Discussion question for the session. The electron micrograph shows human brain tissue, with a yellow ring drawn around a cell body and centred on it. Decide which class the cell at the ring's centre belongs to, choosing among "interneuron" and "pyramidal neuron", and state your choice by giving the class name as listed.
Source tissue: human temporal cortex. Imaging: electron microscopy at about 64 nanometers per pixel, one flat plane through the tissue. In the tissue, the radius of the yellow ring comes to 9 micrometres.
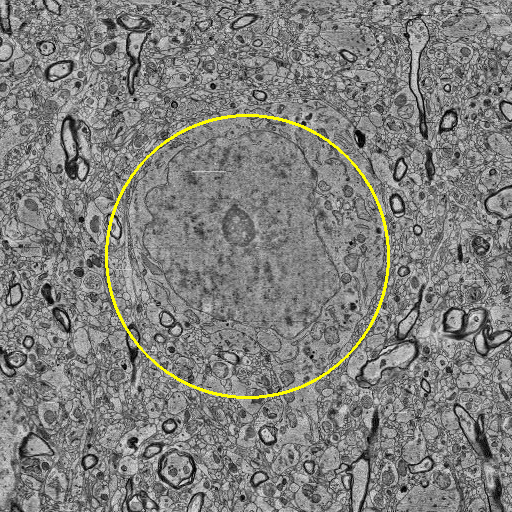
interneuron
